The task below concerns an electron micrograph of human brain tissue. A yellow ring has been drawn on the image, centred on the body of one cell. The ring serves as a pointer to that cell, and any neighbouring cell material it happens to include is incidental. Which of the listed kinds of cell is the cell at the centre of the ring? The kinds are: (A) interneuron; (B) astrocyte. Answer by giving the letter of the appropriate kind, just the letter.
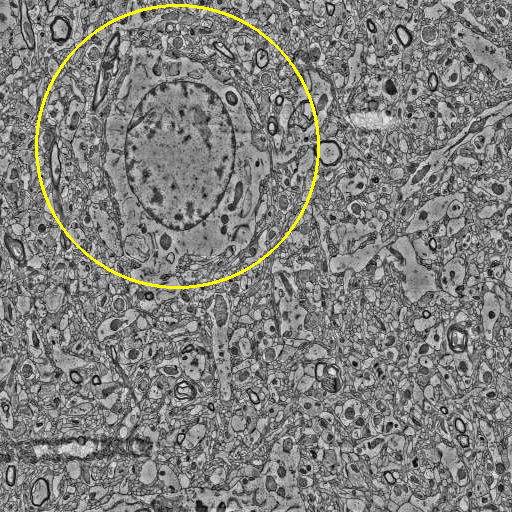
B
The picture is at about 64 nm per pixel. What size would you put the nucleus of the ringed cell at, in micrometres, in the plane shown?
About 9 by 7 micrometers for the nucleus, in this plane.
